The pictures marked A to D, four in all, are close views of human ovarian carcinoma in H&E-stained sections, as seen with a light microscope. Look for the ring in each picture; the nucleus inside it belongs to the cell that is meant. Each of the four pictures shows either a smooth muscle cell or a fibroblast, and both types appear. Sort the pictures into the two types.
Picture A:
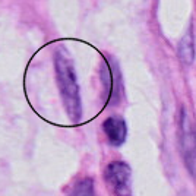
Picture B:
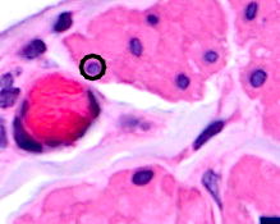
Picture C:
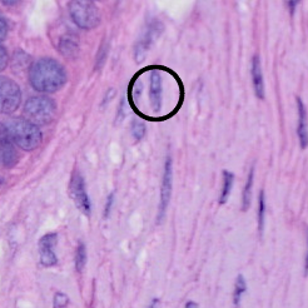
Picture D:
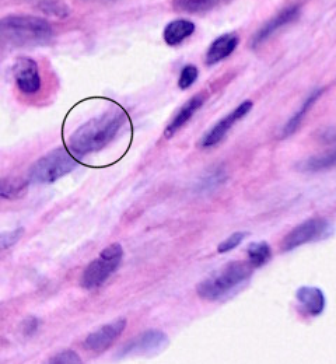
A: fibroblast
B: smooth muscle cell
C: fibroblast
D: fibroblast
